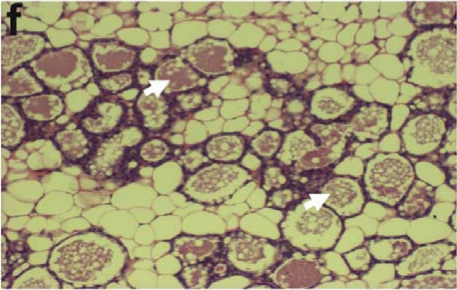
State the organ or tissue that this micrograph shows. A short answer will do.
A: Mammary gland.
